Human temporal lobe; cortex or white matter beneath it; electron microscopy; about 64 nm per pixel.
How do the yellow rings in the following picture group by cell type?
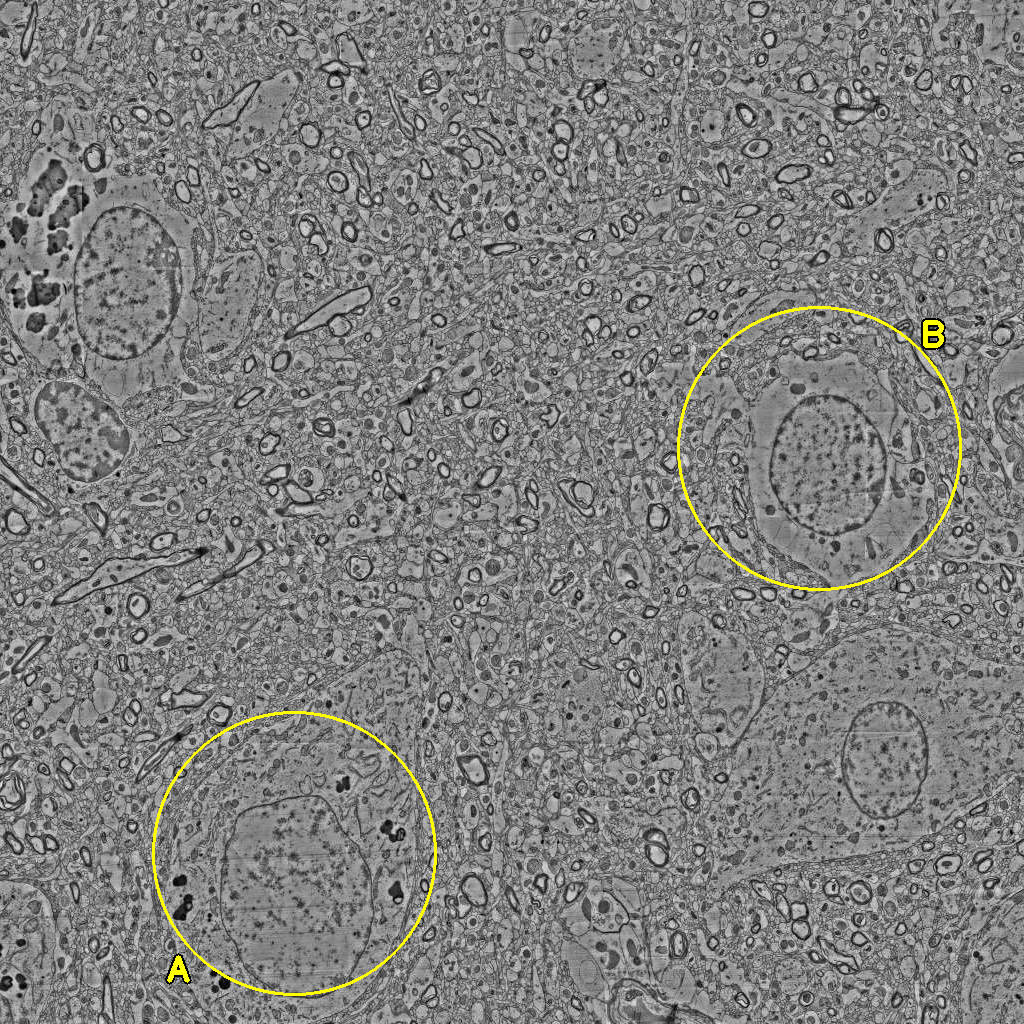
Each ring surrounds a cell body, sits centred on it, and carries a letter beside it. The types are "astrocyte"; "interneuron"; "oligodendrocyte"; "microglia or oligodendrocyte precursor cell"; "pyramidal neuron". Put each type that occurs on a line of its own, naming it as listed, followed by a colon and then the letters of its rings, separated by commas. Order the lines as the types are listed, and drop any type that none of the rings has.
astrocyte: B
pyramidal neuron: A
